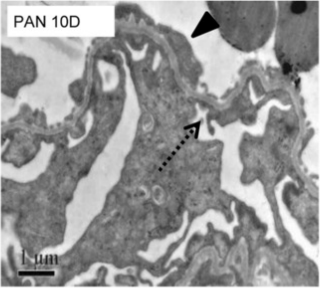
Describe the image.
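This is a glomerular capillary wall in which the podocyte cytoplasm has spread out over the basement membrane. Instead of a regular row of separate foot processes, the podocyte covers the membrane as broad, continuous sheets of cytoplasm, and the cell body is irregular with scattered small vacuoles. The dotted arrow points along such a flattened stretch. At the top, the arrowhead marks a region where the lining on the capillary side looks thickened and bulging, beside a dark red blood cell in the lumen. Clear urinary space surrounds the irregular podocyte outlines.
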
